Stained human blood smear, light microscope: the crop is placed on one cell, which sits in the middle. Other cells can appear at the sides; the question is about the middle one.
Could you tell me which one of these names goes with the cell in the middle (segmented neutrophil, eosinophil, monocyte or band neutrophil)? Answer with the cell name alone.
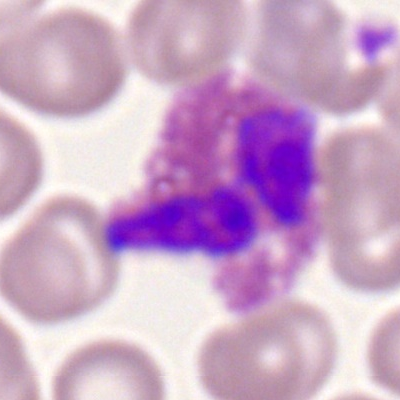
eosinophil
